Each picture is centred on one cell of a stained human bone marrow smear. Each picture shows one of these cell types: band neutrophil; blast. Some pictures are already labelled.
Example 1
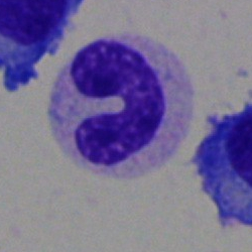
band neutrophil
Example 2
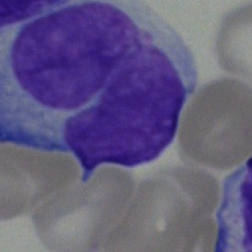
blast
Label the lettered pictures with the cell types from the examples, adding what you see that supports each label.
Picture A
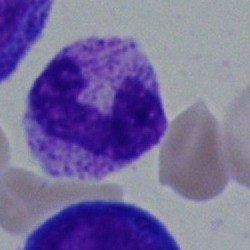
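Label: band neutrophil. Fine purple granules are scattered through the cytoplasm.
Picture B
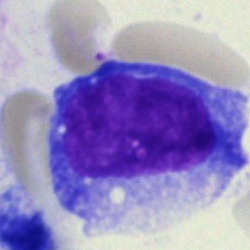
Label: blast. The chromatin is finely textured rather than coarsely clumped.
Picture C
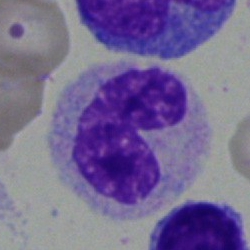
Label: band neutrophil. The chromatin is dark purple and coarsely clumped with small pale patches.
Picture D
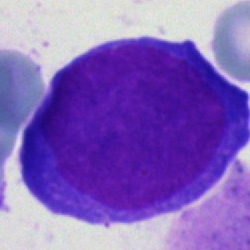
Label: blast. The cytoplasm forms a narrow rim around the nucleus.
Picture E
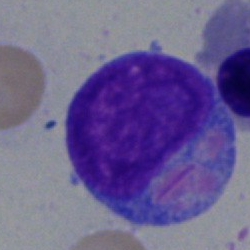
Label: blast. The chromatin is fine rather than coarsely clumped.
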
